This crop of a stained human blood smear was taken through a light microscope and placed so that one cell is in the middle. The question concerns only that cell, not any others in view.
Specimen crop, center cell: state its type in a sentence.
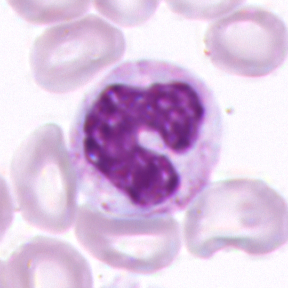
For this crop, the cell in the middle is a band neutrophil.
